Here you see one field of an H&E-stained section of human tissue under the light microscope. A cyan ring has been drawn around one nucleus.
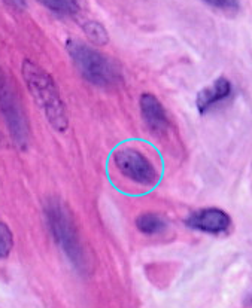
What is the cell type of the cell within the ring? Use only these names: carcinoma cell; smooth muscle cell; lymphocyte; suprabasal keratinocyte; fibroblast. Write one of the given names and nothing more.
smooth muscle cell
